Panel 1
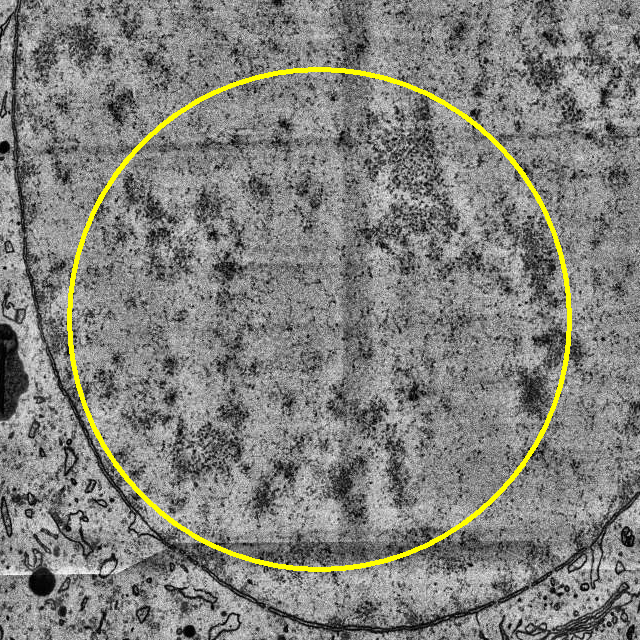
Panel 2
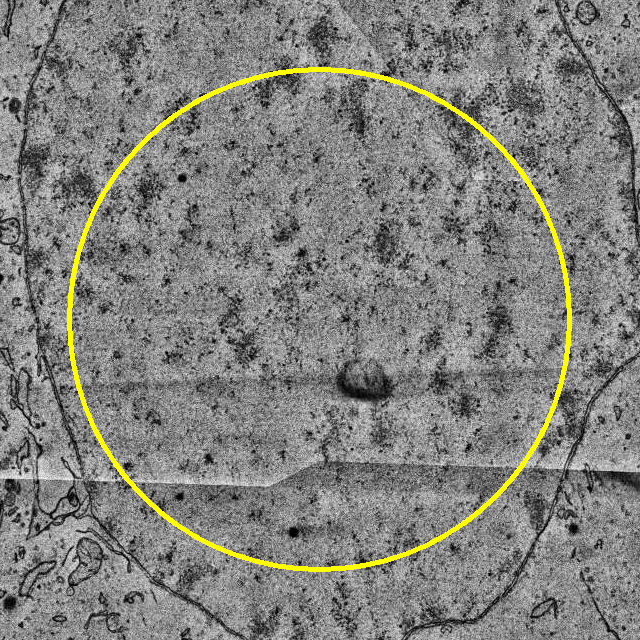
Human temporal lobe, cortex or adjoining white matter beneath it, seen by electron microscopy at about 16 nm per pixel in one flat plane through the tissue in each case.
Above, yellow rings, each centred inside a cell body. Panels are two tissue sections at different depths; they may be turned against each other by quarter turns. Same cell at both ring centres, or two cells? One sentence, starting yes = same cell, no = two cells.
No, the two rings outline two separate cells in this micrograph.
